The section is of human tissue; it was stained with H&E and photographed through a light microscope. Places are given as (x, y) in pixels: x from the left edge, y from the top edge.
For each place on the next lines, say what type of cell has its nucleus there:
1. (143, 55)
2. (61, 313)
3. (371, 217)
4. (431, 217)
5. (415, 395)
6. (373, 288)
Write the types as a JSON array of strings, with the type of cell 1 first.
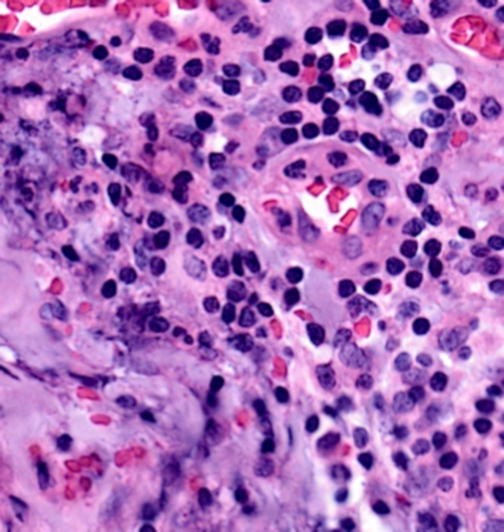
["lymphocyte", "endothelial cell", "endothelial cell", "lymphocyte", "lymphocyte", "lymphocyte"]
